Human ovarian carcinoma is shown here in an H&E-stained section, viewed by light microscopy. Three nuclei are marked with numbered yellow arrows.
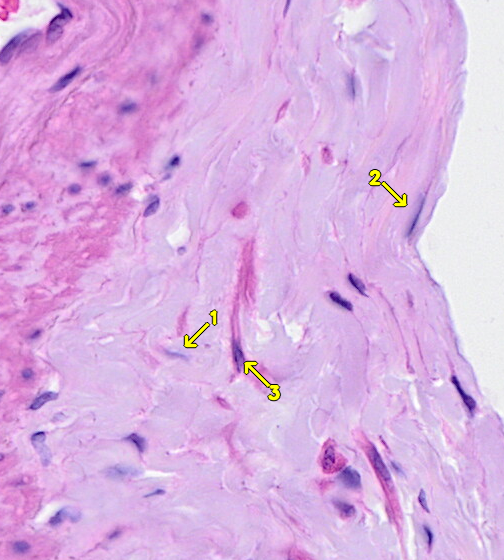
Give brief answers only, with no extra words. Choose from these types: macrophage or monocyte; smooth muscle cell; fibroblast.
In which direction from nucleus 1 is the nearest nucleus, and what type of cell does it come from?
a smooth muscle cell to the right of nucleus 1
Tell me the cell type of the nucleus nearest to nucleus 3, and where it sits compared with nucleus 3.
a fibroblast; to the left of nucleus 3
